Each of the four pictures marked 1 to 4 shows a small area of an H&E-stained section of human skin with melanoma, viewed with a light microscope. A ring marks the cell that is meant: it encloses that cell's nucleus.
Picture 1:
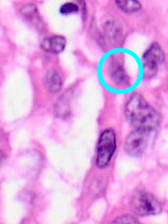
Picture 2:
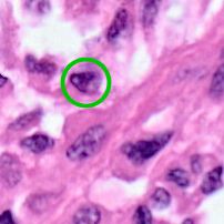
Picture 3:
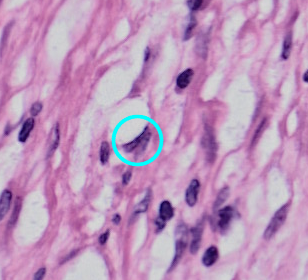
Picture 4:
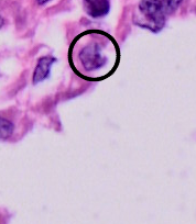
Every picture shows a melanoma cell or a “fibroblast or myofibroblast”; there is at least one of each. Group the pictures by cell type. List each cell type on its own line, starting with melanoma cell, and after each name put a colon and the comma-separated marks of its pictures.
melanoma cell: 1, 2, 4
fibroblast or myofibroblast: 3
